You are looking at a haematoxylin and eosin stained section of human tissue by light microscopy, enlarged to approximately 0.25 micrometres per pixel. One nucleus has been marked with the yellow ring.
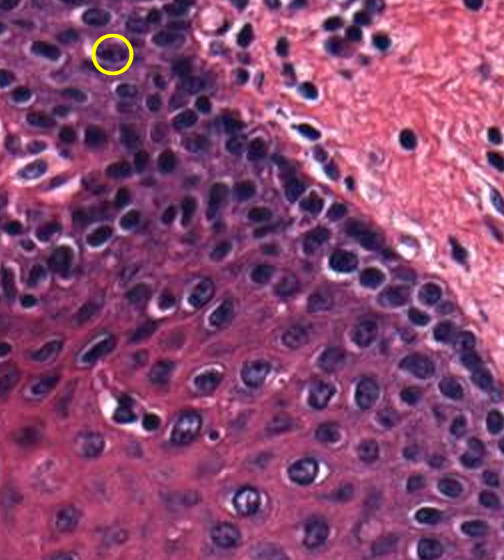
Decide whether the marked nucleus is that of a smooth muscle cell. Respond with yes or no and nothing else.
no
